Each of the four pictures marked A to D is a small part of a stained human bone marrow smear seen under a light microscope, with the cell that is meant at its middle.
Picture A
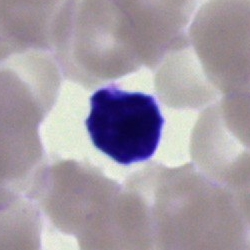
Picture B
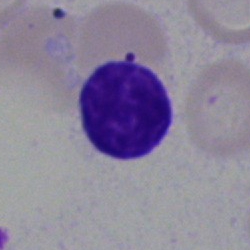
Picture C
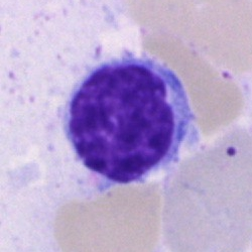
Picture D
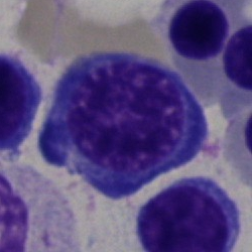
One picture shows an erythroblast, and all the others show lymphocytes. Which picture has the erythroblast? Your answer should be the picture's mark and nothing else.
D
